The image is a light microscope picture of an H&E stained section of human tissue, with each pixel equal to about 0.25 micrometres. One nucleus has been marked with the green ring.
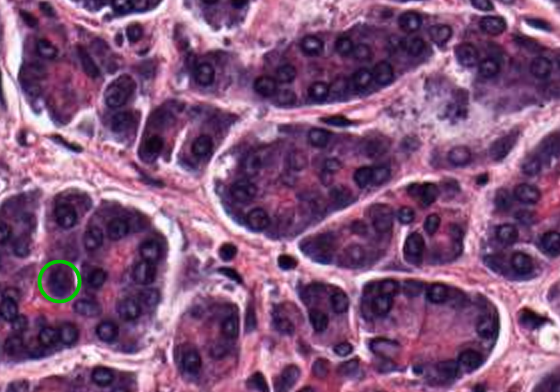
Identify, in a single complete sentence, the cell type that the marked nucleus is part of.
The marked nucleus is contained in a pancreatic acinar cell.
